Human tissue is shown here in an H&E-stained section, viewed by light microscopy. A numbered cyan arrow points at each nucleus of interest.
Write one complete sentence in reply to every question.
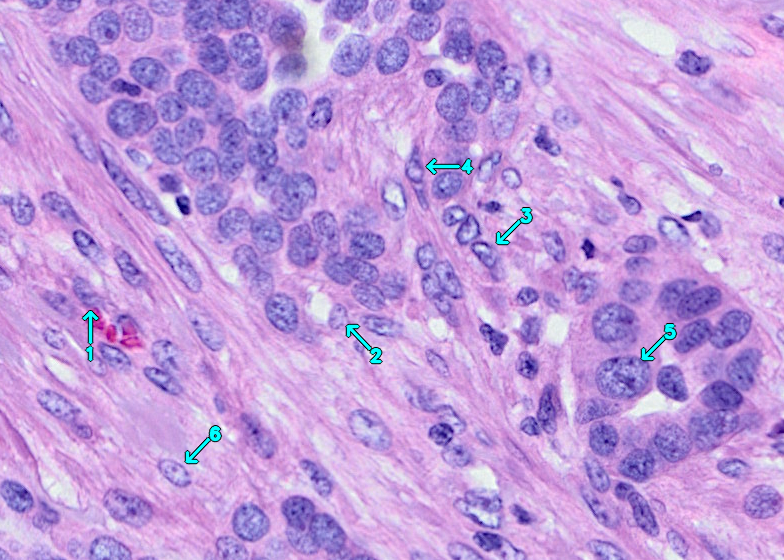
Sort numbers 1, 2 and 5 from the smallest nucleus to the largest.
The order from the smallest nucleus to the largest is 2, 1, 5.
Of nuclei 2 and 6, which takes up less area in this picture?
With nucleus 6 about 1.5 times its size, nucleus 2 is the smaller of the two.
